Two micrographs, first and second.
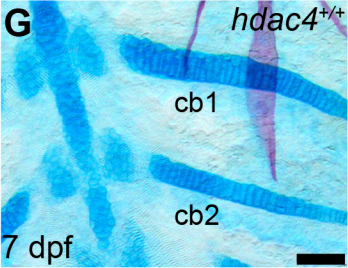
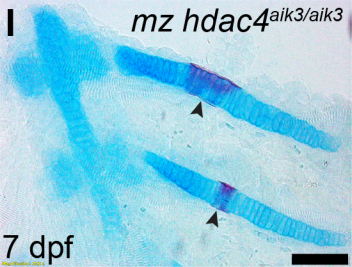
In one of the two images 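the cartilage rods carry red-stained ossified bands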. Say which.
The second image.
